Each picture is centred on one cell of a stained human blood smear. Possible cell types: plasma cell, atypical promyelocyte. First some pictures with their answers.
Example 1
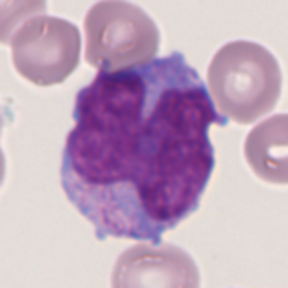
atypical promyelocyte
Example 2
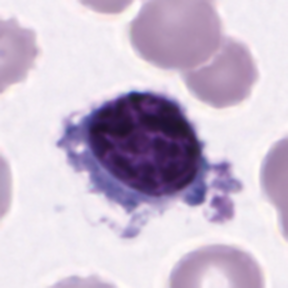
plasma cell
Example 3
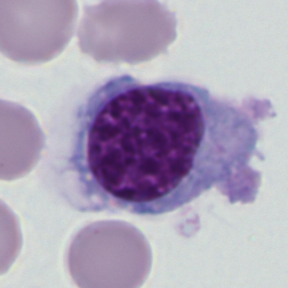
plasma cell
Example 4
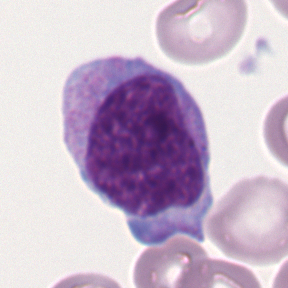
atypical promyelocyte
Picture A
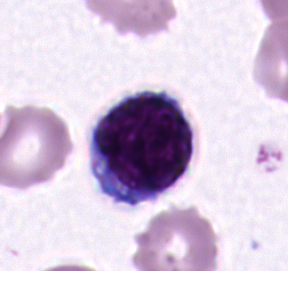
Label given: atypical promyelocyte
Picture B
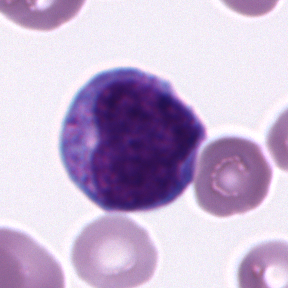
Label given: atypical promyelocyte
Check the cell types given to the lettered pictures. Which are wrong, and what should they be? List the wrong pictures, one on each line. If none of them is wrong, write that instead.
A: plasma cell, not atypical promyelocyte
